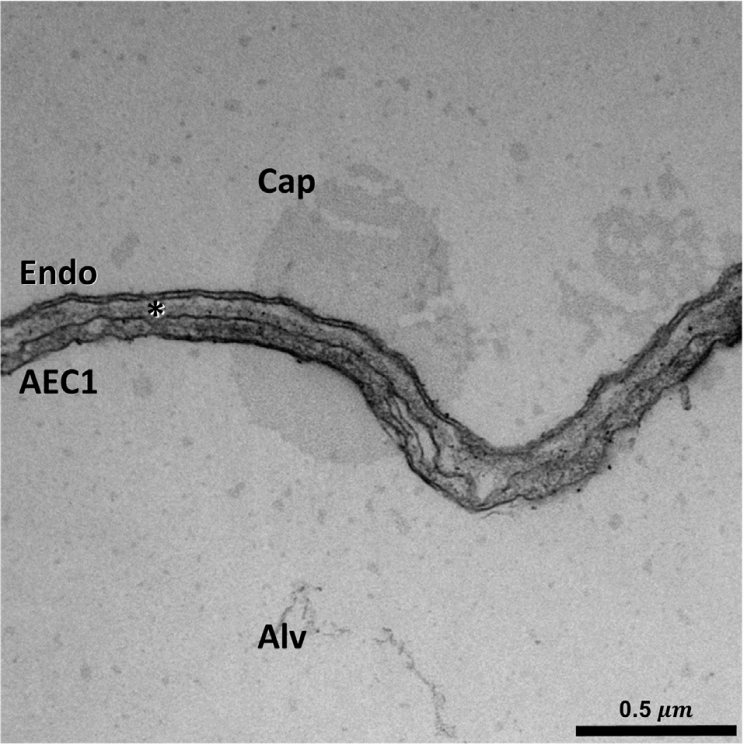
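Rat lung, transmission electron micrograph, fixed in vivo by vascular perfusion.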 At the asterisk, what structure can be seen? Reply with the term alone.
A: Basement membrane.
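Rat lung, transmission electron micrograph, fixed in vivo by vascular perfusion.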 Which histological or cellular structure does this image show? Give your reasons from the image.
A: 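Thin part of the blood-gas barrier. A very thin tissue wall separates the capillary lumen from the alveolar airspace. The wall consists only of two attenuated cell layers with a shared layer between them. There is no interstitial space with fibres or other cells in the wall.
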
